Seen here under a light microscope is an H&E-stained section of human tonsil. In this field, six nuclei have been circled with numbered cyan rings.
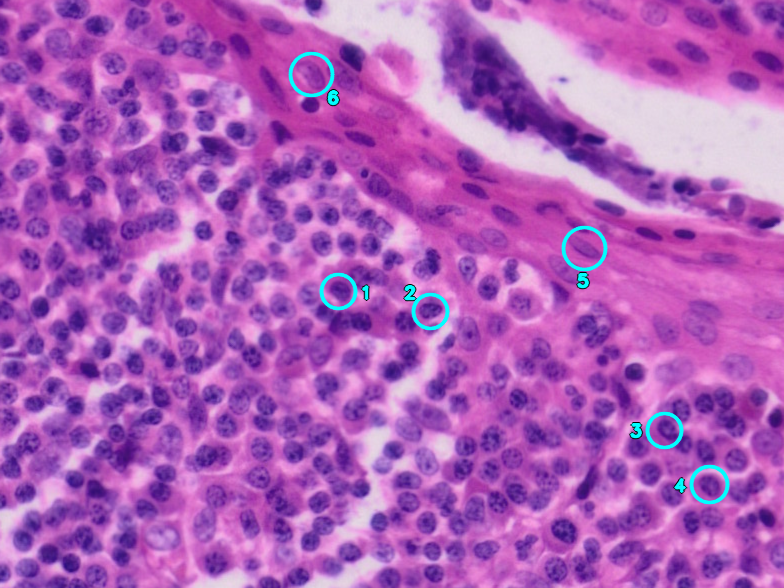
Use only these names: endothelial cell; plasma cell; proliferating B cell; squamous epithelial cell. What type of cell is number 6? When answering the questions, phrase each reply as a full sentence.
In this section, the cell tagged 6 is a squamous epithelial cell.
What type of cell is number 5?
The cell identified by number 5 is a squamous epithelial cell.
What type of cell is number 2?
The nucleus marked 2 is the nucleus of a plasma cell.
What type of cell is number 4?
The cell referred to as 4 is a plasma cell.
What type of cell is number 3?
To a plasma cell belongs the nucleus marked 3.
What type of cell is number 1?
The mark numbered 1 indicates the nucleus of a plasma cell.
